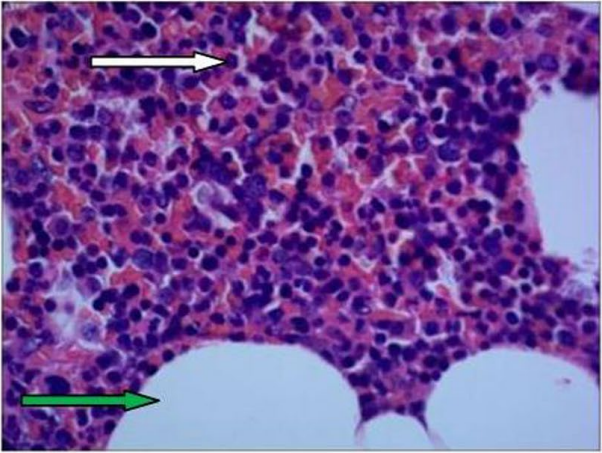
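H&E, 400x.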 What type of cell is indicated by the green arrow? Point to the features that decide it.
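The arrow points to a large, round, empty white space. The empty space has a thin rim and no stained contents. Similar large clear rounded spaces lie at the panel's edges. The answer: adipocytes.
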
